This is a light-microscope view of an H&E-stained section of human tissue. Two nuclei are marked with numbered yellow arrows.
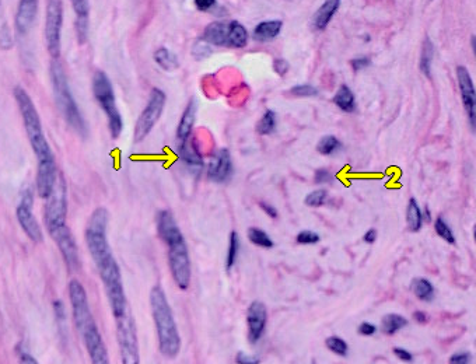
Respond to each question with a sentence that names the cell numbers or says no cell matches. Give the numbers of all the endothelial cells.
The numbered cell that is an endothelial cell is cell 1, and it is the only one.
